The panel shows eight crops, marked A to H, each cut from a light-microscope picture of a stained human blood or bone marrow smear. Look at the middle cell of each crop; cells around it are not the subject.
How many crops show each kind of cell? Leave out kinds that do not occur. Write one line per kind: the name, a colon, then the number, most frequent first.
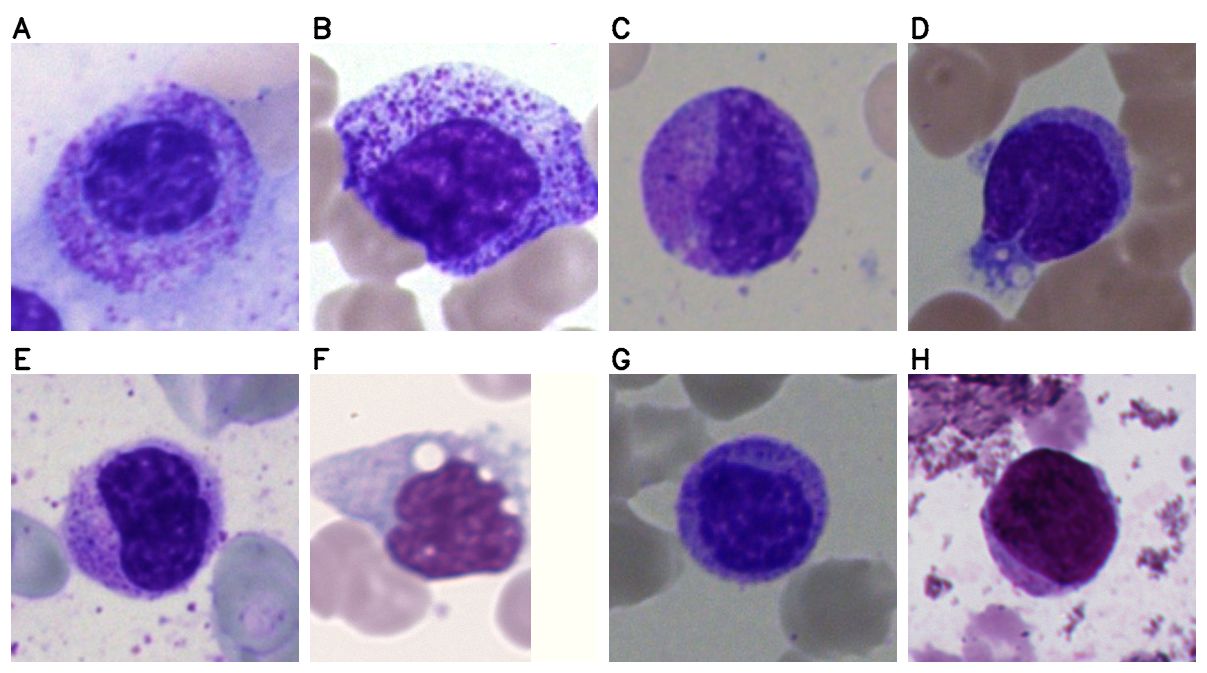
myelocyte: 5
monocyte: 2
blast: 1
